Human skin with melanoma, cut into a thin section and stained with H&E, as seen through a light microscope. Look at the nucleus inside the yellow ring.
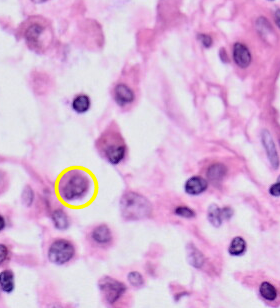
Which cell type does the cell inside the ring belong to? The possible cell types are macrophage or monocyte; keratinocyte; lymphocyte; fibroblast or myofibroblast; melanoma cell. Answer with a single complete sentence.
In cell-type terms, the cell inside the ring is a macrophage or monocyte.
